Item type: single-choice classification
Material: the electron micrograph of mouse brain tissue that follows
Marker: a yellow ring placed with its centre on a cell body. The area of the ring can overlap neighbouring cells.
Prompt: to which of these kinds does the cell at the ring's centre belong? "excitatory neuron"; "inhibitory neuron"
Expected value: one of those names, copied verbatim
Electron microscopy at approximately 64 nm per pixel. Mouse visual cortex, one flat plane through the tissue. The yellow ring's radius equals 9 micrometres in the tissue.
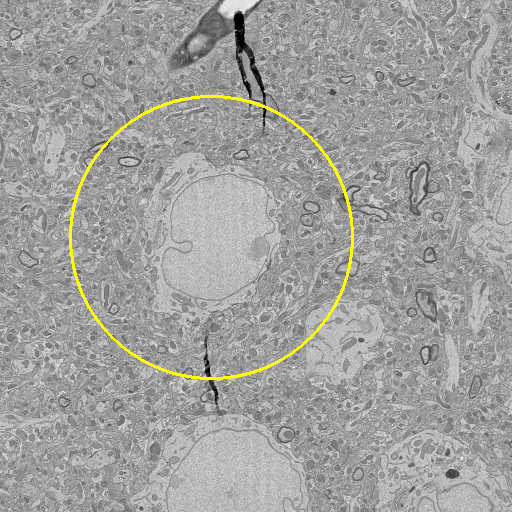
excitatory neuron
